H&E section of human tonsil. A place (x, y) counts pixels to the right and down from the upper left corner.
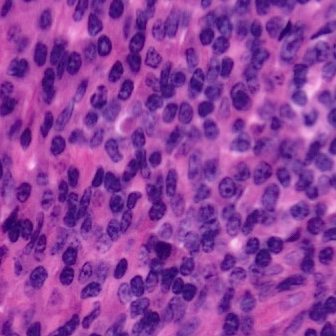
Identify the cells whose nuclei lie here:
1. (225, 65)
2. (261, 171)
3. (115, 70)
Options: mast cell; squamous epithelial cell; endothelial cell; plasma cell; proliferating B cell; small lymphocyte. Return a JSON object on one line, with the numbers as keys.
{"1": "small lymphocyte", "2": "plasma cell", "3": "plasma cell"}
